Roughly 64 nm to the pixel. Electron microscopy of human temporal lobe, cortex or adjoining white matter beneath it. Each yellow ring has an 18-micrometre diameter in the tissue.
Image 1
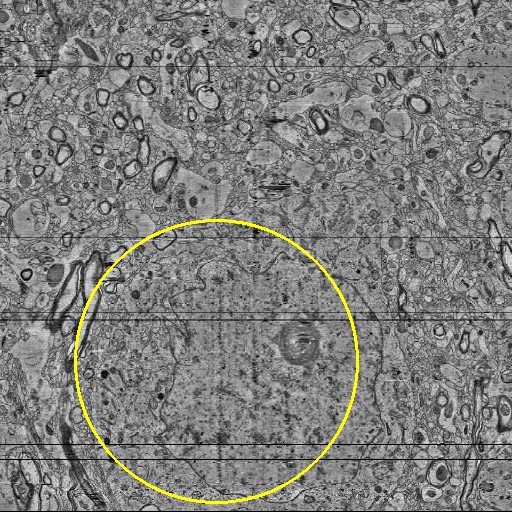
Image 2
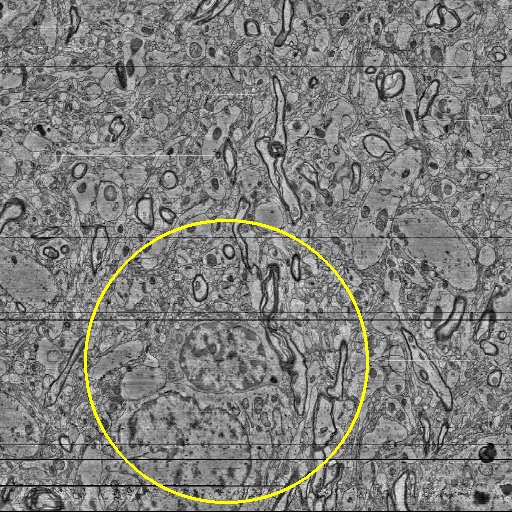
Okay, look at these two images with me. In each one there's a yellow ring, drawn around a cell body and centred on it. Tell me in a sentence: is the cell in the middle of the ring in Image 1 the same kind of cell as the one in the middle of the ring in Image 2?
No, they're two kinds of cell.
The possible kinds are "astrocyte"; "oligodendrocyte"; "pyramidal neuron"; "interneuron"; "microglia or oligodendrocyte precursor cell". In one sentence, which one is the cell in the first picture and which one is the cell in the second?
The cell ringed in the second picture is an oligodendrocyte, whereas the one ringed in the first is a pyramidal neuron.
